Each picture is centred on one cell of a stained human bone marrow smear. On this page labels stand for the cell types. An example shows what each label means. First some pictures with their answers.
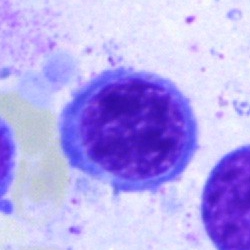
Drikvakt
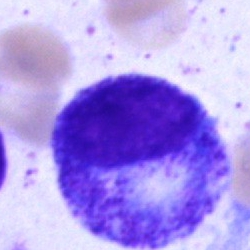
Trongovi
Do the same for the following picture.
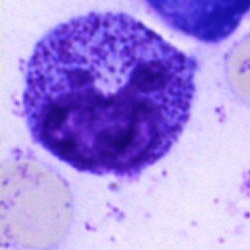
Trongovi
